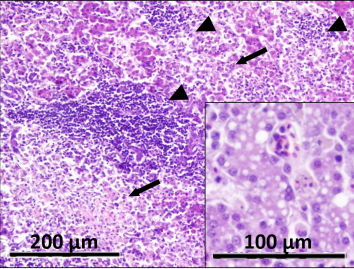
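This is liver, with cords of hepatocytes that have pink cytoplasm, broken up by a dense focus of small round lymphocytes with dark nuclei. Beside it lie pale, disorganised areas of degeneration where the regular cord pattern is lost. In the magnified inset the polygonal hepatocytes show clear vacuoles in their cytoplasm.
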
